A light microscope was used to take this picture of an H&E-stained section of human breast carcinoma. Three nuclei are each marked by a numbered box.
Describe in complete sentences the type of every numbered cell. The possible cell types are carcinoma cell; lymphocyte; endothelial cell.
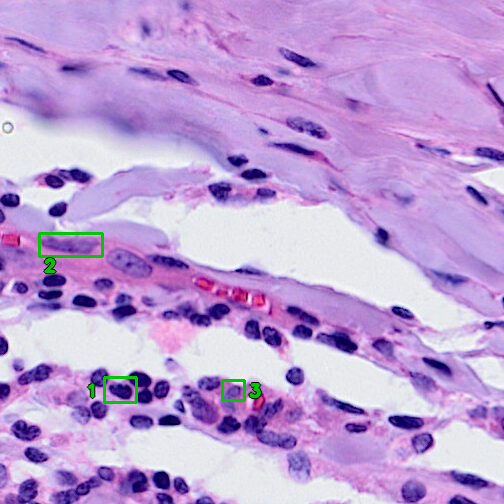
Cell 1 is a lymphocyte. Cells 2 and 3 are endothelial cells.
